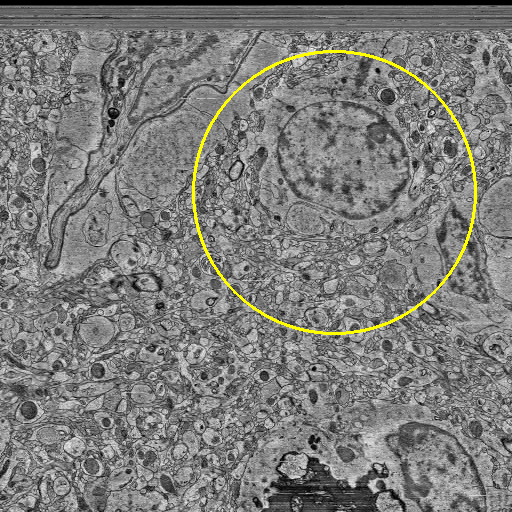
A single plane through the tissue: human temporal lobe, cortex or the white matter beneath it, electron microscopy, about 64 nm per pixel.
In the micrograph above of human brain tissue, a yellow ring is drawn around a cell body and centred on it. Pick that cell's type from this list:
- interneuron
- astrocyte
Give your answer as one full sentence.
Going by the list, an astrocyte is the cell on which the yellow ring is centred.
